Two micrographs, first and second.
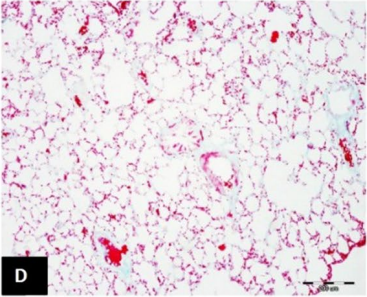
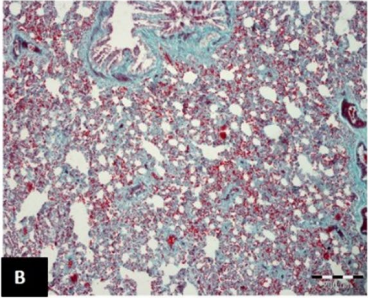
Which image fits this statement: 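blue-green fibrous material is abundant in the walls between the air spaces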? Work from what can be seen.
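The second image. First image: thin pink walls with only faint focal blue-green areas. Second image: thick walls and airway surroundings widely stained blue-green.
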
